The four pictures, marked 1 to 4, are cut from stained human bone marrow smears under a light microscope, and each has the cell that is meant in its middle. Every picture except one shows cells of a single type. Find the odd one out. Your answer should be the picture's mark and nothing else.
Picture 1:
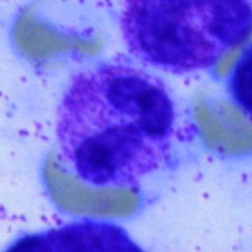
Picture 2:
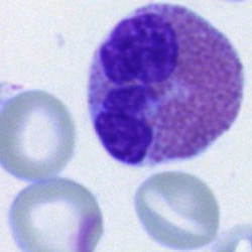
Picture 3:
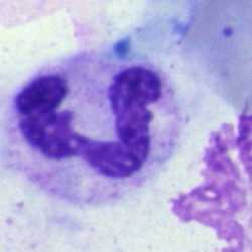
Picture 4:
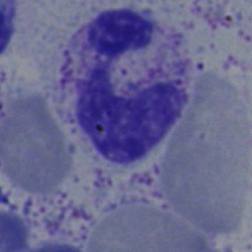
2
